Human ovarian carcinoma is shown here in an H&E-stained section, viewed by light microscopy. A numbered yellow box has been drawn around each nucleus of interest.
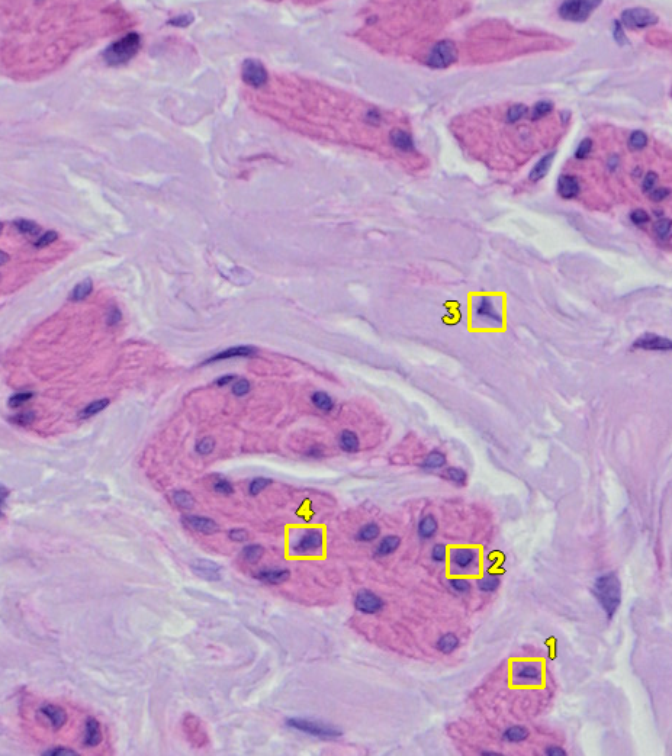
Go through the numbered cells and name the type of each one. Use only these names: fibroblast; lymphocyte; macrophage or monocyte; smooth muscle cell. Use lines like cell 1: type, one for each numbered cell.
cell 1: smooth muscle cell
cell 2: smooth muscle cell
cell 3: fibroblast
cell 4: smooth muscle cell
